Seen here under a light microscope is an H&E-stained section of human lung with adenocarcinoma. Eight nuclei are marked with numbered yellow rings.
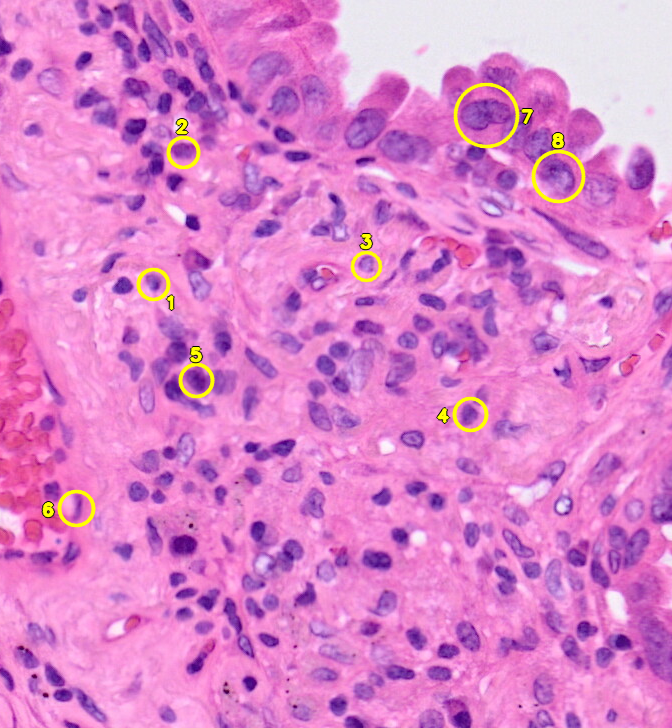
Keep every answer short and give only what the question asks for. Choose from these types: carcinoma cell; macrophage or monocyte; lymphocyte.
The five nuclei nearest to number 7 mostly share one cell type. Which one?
carcinoma cell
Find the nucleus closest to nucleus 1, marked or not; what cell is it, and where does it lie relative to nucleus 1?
a lymphocyte, to the left of nucleus 1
